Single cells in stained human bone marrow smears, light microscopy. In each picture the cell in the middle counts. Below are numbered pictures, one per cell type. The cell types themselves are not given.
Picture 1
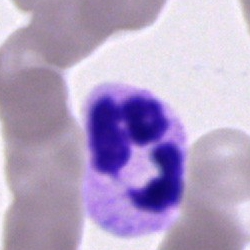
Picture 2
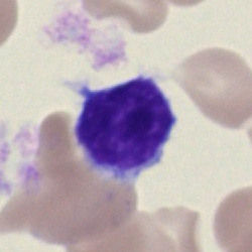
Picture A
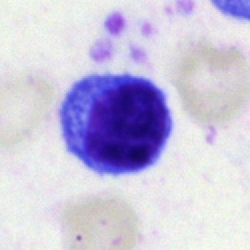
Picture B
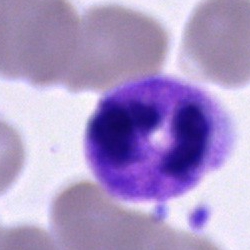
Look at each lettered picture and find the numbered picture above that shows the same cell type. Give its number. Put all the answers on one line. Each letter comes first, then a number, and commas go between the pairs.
A 2, B 1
